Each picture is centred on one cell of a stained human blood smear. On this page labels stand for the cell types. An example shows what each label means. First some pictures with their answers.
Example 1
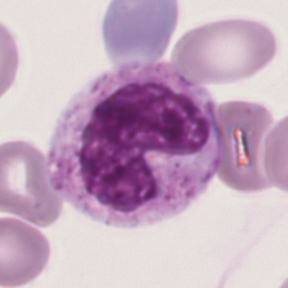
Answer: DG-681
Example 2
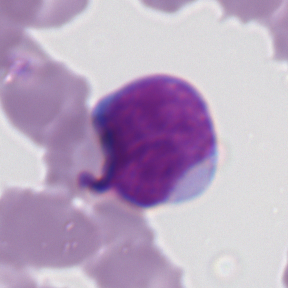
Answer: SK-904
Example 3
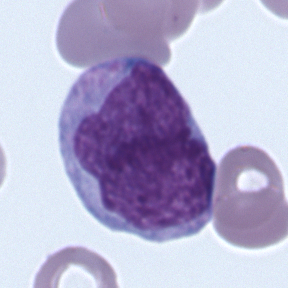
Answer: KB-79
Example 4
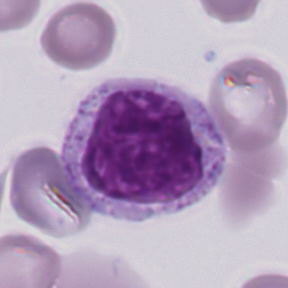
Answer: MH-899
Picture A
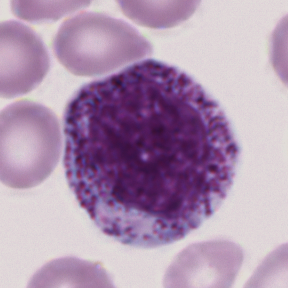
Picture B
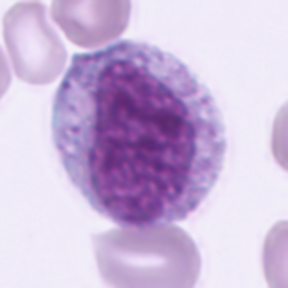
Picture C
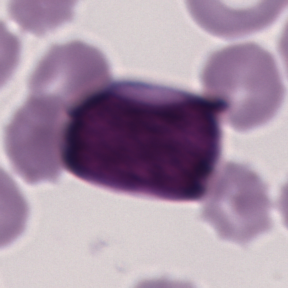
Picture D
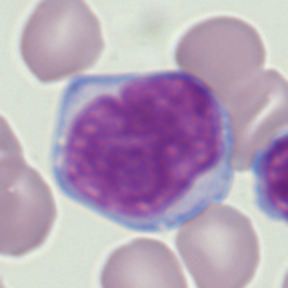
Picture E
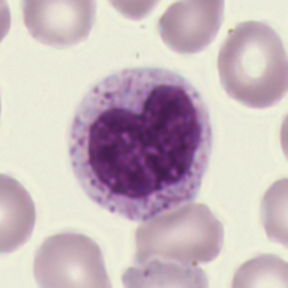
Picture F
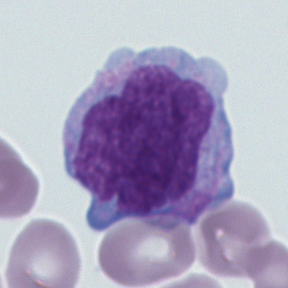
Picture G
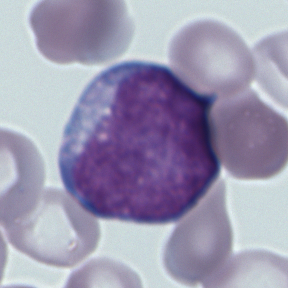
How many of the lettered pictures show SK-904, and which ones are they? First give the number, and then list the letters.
3, namely C, D, G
